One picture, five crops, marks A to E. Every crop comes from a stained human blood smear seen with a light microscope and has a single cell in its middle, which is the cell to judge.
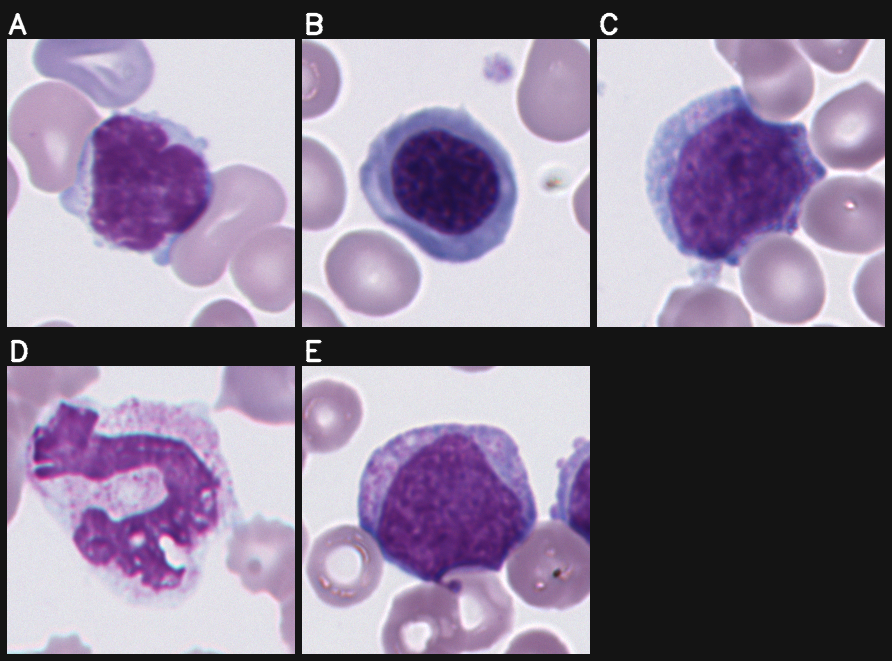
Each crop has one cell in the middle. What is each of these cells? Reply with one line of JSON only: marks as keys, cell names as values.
{"A": "typical lymphocyte", "B": "normoblast", "C": "promyelocyte", "D": "segmented neutrophil", "E": "promyelocyte"}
